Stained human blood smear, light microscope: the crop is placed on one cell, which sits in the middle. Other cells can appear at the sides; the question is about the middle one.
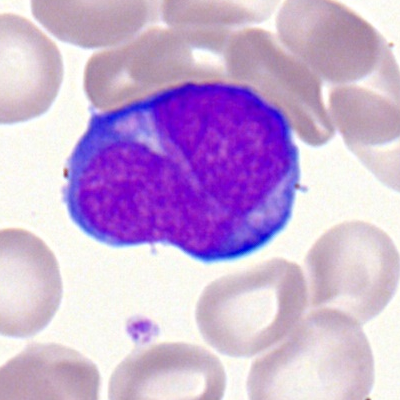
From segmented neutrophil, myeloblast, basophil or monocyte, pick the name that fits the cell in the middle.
myeloblast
